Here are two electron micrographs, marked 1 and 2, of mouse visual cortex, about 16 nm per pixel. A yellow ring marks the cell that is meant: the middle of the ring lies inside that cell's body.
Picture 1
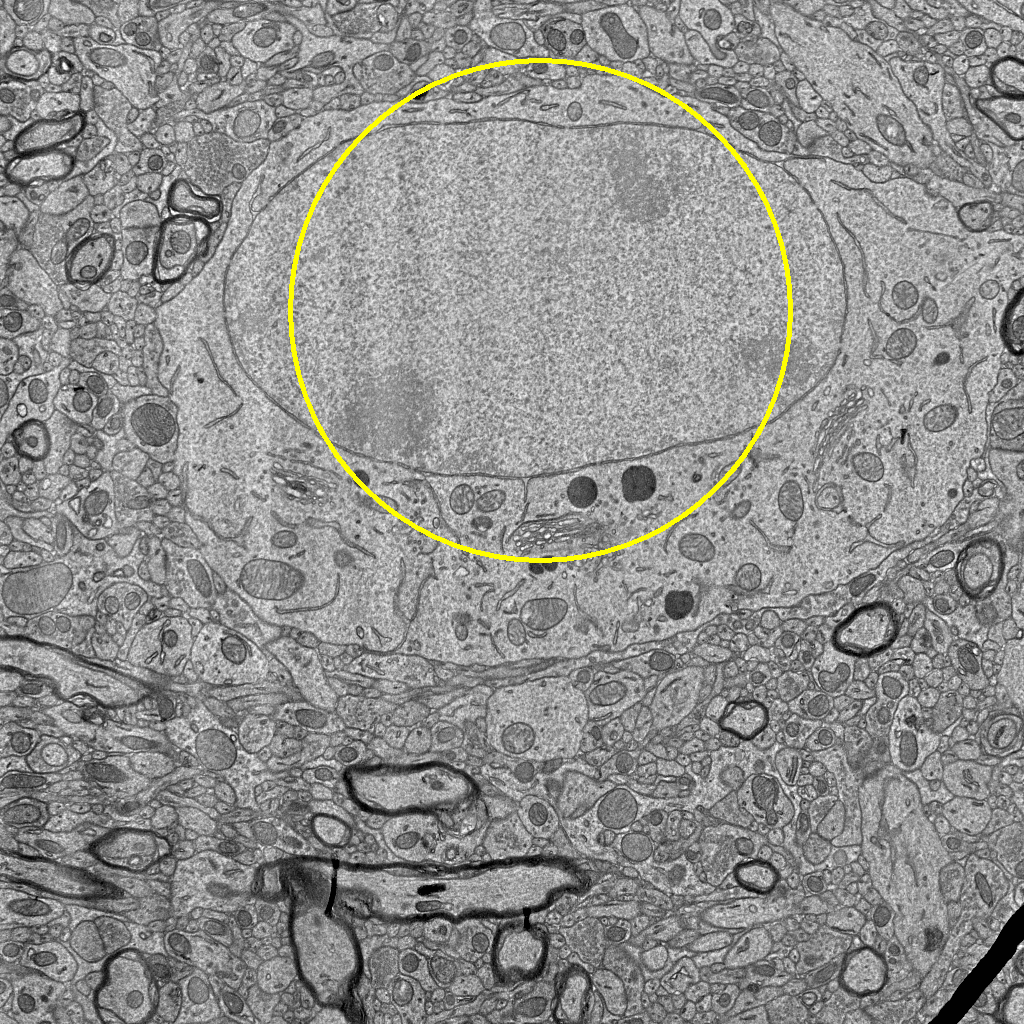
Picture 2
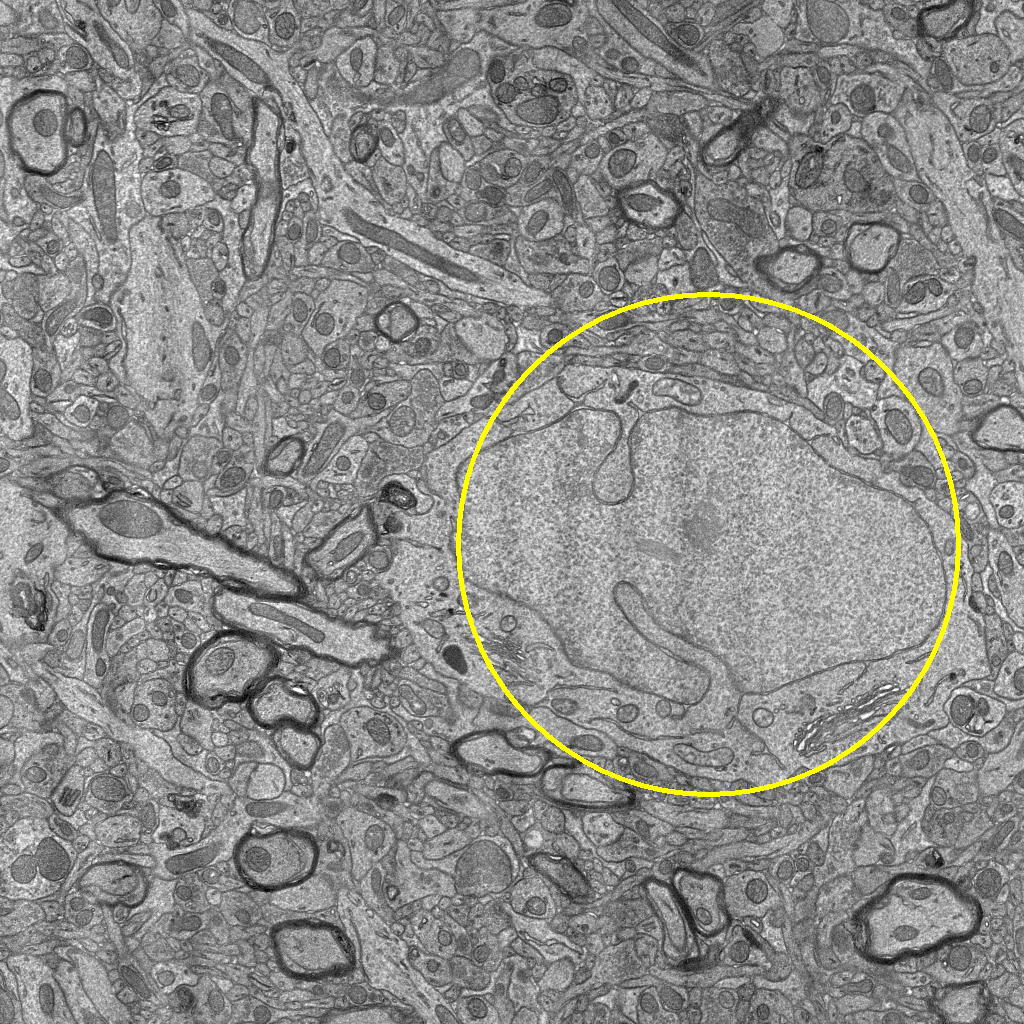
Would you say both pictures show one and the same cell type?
No, the types are not the same, since picture 1 shows an excitatory neuron and picture 2 an inhibitory neuron.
